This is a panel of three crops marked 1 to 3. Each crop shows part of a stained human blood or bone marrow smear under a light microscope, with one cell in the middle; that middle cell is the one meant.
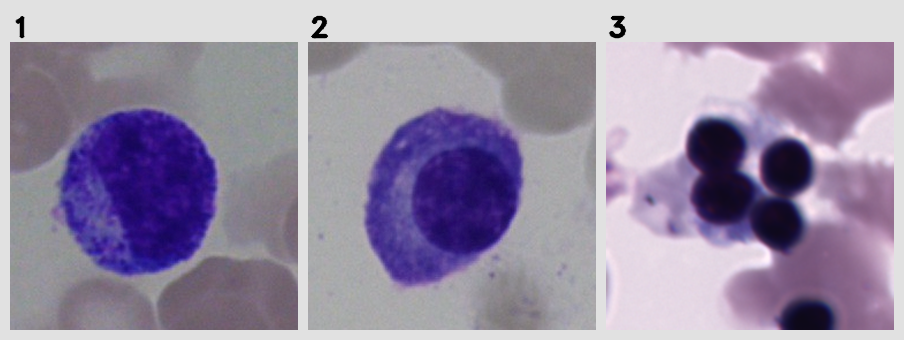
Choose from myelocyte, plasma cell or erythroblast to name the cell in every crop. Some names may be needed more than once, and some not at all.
1: myelocyte
2: plasma cell
3: erythroblast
